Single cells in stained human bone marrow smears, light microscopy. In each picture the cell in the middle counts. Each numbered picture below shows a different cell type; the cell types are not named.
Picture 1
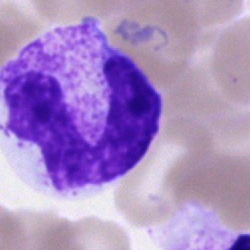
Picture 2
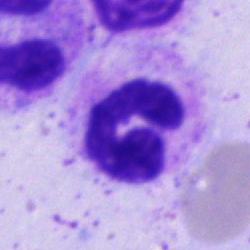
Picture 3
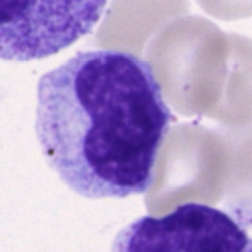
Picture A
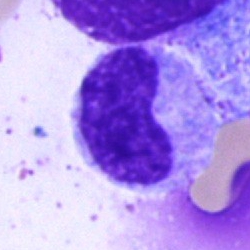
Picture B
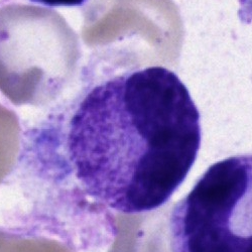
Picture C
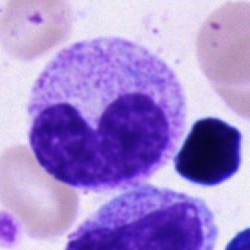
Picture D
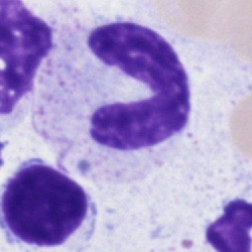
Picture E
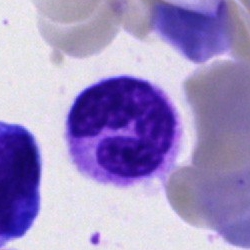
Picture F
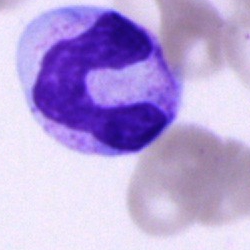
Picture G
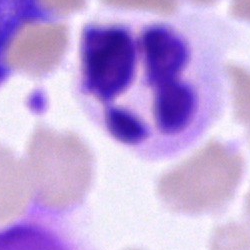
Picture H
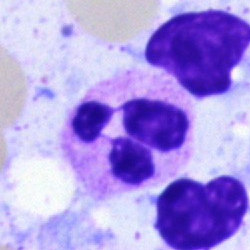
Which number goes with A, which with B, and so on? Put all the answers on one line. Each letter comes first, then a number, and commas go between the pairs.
A 3, B 3, C 3, D 1, E 1, F 1, G 2, H 2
